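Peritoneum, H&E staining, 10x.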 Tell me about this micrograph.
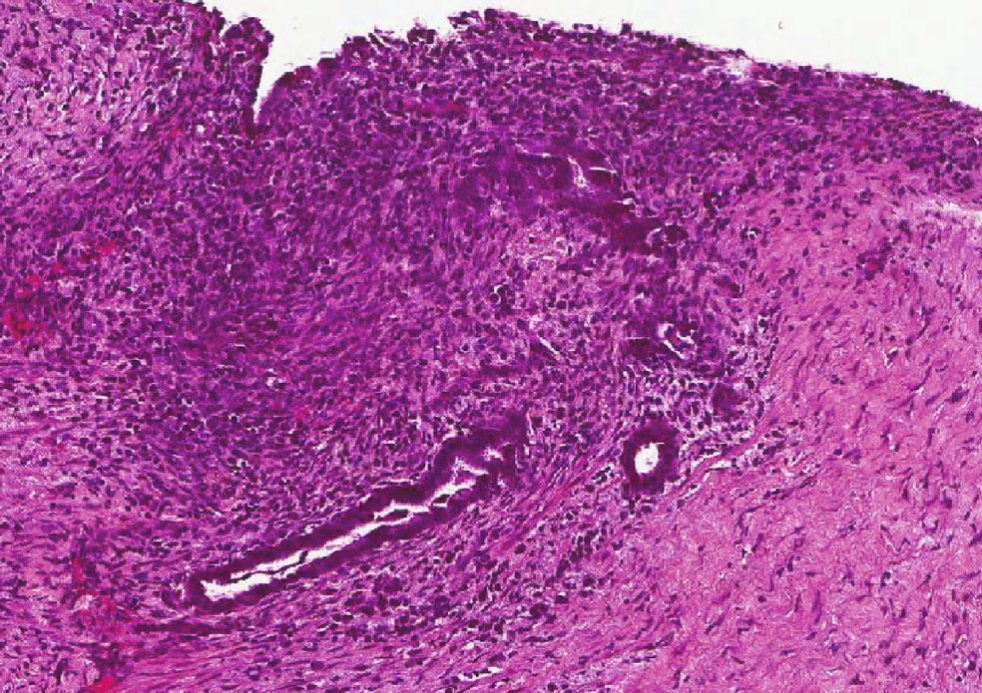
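Benign endometrial glands with their stroma lie within thick fibrous tissue. An elongated tubular gland with an open lumen crosses the lower middle of the field, and a smaller round gland with a central lumen lies beside it. A few further small gland profiles sit higher up. The glands are lined by a single row of tall cells with dark nuclei. Around them is a dense, dark purple sheet of closely packed small cells with oval to spindle nuclei and scant cytoplasm. This cellular zone gives way at the lower right to pale pink, wavy collagenous tissue with sparse spindle nuclei. Small red areas of blood are scattered at the left.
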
